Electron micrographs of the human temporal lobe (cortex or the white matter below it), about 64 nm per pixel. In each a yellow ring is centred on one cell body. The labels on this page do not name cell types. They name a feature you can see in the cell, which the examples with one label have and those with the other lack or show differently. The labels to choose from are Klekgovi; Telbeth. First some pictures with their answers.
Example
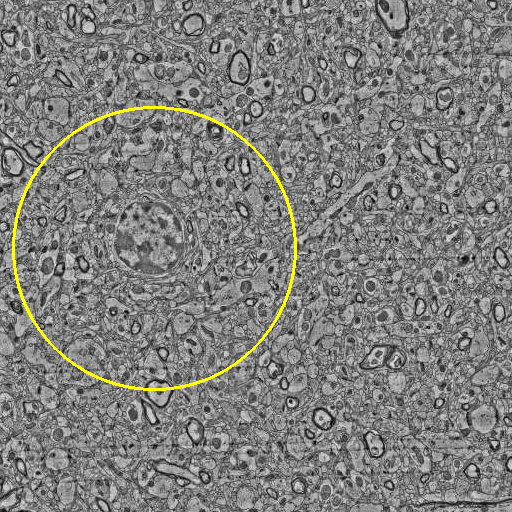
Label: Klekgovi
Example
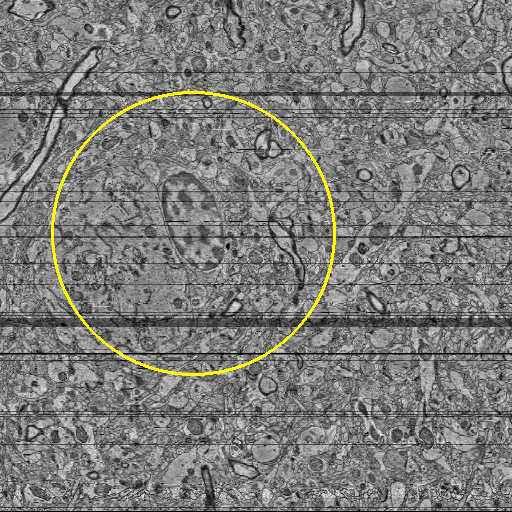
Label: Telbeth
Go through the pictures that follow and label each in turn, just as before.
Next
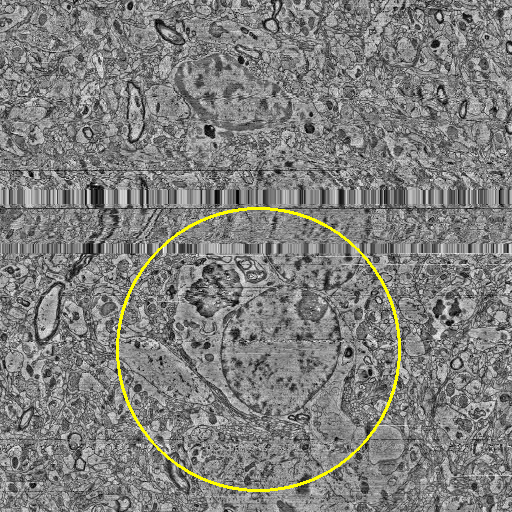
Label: Klekgovi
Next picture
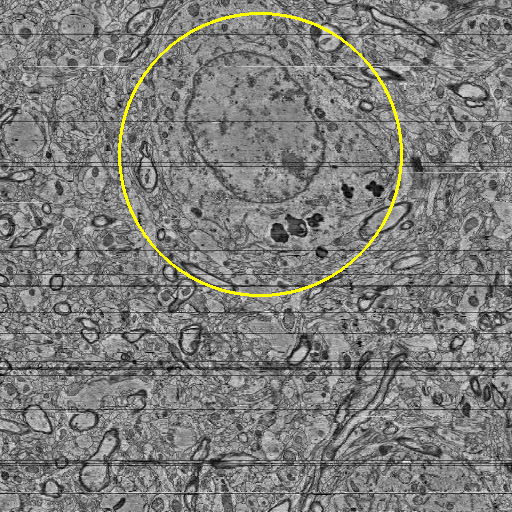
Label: Klekgovi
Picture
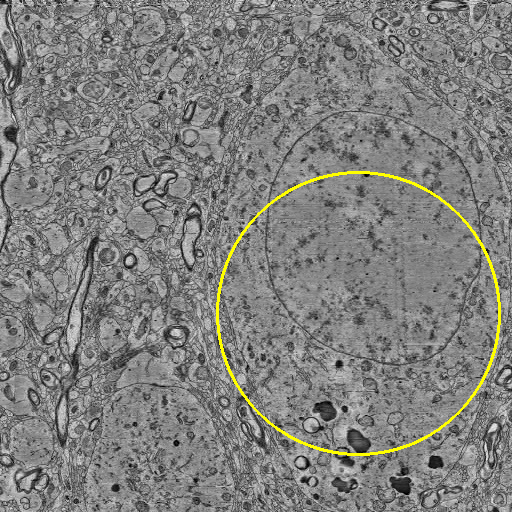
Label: Klekgovi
